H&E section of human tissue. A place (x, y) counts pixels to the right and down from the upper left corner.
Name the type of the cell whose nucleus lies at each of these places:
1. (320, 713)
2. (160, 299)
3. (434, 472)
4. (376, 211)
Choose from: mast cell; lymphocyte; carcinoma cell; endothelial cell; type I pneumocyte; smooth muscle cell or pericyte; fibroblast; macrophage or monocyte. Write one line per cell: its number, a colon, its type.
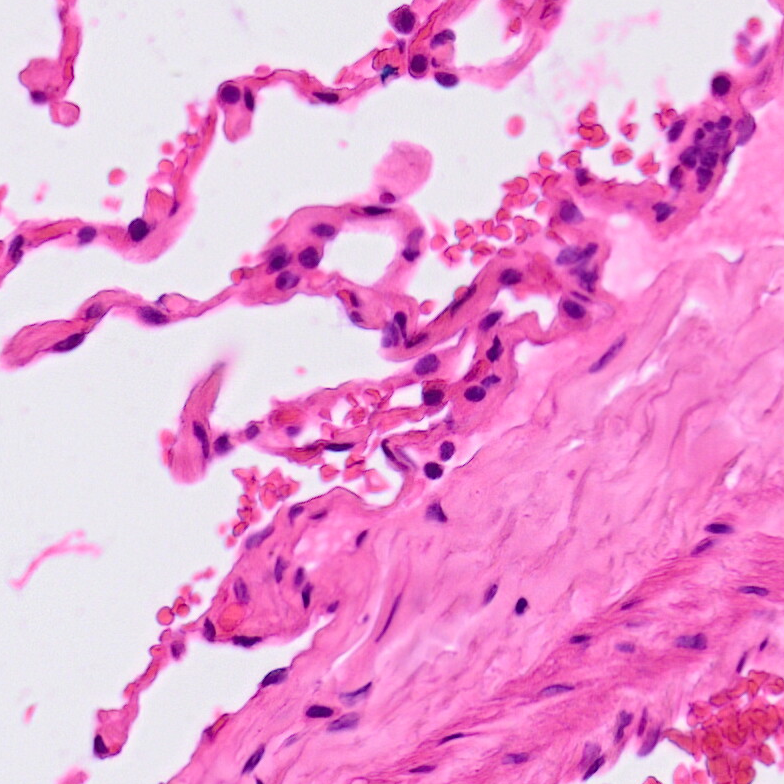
1: mast cell
2: type I pneumocyte
3: lymphocyte
4: endothelial cell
